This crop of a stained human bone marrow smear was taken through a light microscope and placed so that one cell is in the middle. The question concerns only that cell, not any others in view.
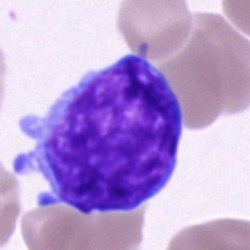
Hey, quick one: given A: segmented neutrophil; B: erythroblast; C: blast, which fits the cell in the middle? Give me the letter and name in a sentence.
Option C is correct in naming the middle cell a blast.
